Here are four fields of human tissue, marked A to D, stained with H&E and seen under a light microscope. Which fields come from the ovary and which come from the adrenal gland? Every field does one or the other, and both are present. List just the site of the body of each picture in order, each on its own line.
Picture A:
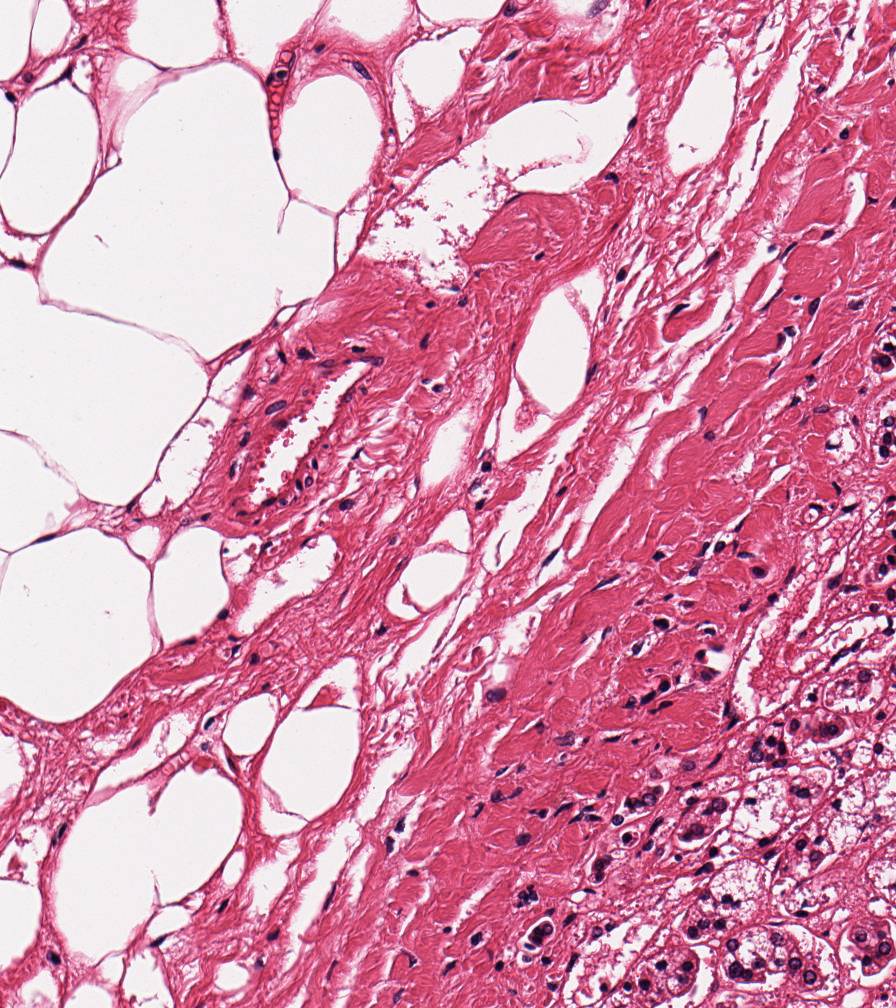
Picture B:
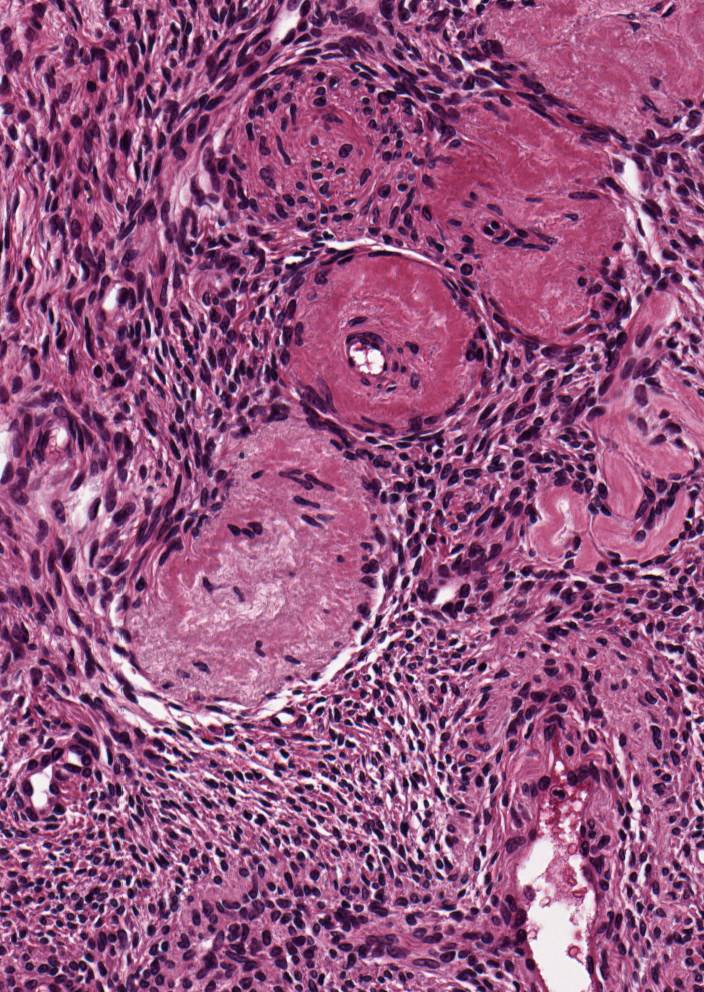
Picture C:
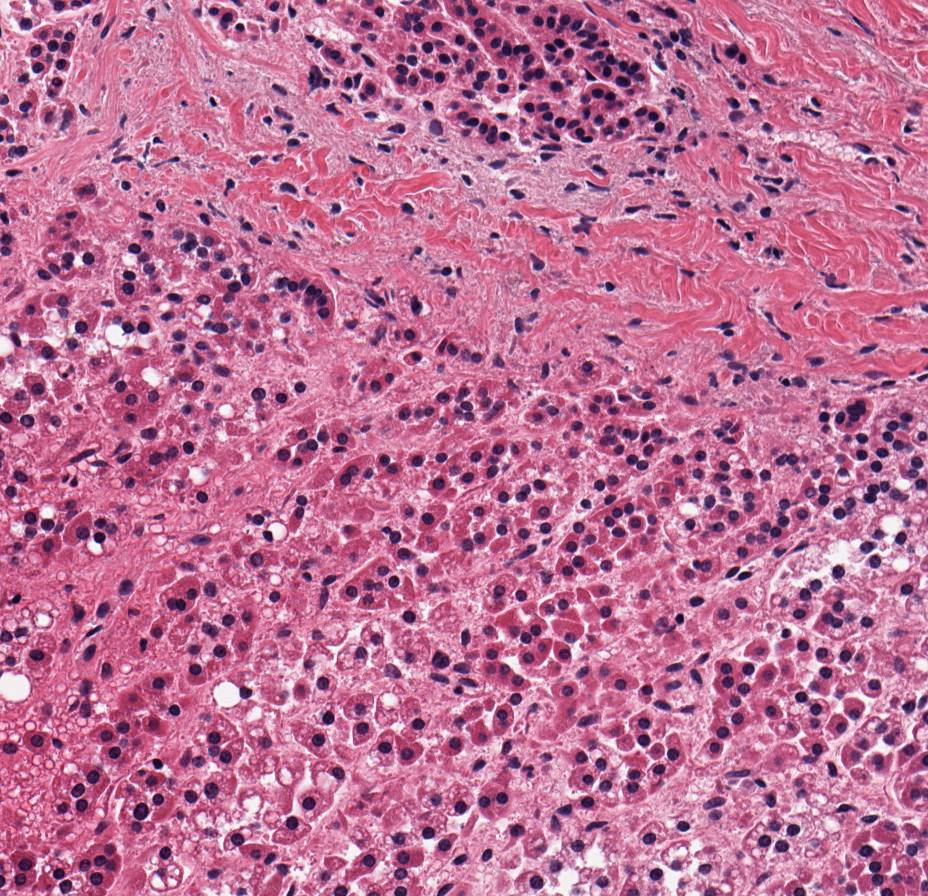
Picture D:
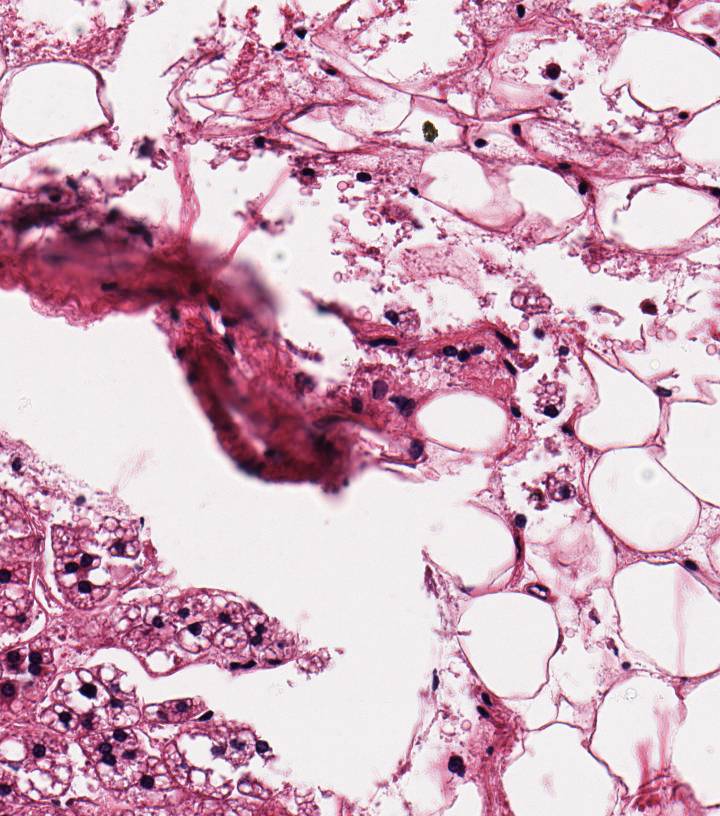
adrenal gland
ovary
adrenal gland
adrenal gland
